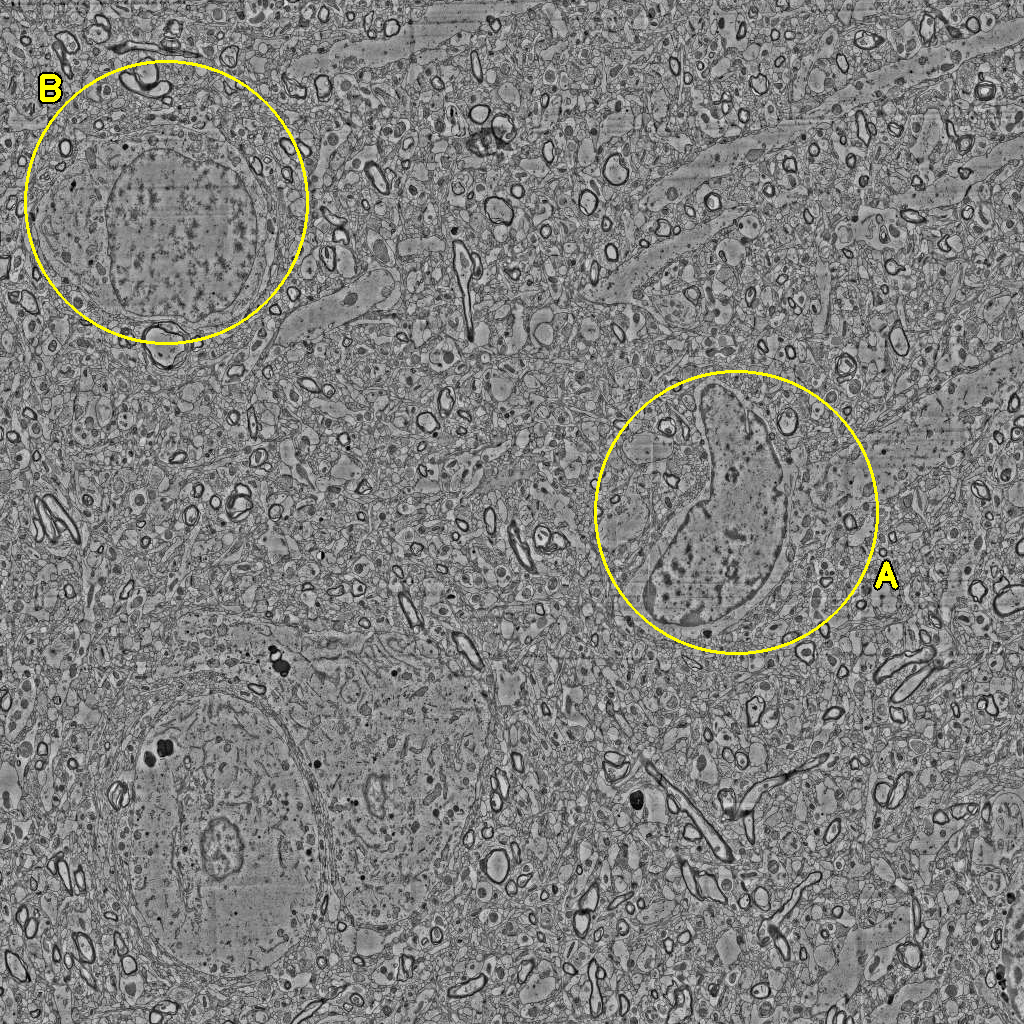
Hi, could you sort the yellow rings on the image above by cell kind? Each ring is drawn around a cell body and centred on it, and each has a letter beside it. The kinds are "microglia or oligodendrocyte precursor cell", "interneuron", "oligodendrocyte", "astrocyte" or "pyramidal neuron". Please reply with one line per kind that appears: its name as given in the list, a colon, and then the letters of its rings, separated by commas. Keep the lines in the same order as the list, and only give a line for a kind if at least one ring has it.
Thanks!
microglia or oligodendrocyte precursor cell: A
pyramidal neuron: B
